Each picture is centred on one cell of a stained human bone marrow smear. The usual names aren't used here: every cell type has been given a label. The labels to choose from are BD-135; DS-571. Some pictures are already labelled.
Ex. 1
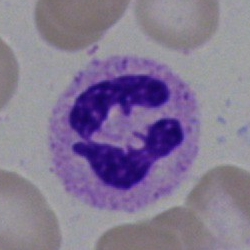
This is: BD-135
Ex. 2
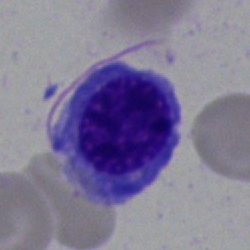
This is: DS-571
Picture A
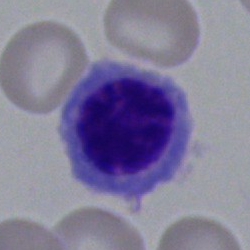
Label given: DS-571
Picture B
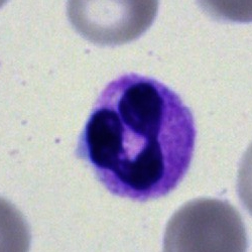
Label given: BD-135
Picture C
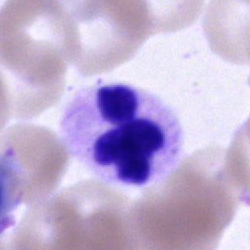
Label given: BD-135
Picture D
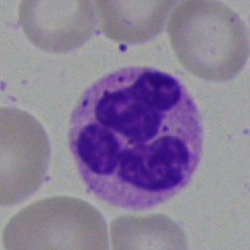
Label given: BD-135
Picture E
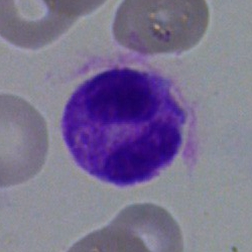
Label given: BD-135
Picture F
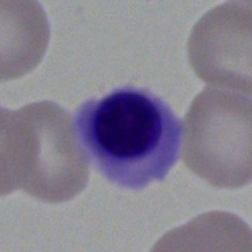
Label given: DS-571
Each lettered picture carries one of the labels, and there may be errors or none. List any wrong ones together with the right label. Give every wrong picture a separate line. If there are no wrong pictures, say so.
All labels are correct.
